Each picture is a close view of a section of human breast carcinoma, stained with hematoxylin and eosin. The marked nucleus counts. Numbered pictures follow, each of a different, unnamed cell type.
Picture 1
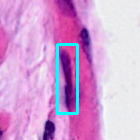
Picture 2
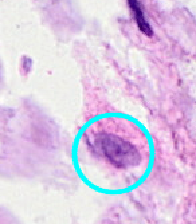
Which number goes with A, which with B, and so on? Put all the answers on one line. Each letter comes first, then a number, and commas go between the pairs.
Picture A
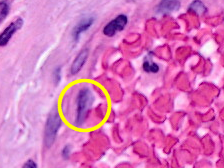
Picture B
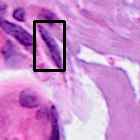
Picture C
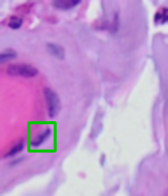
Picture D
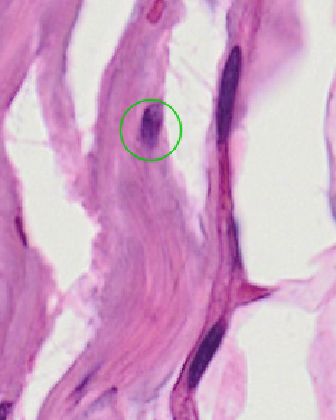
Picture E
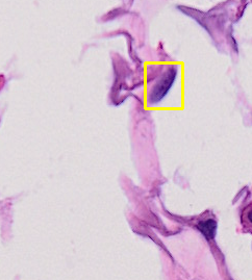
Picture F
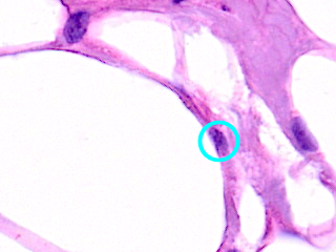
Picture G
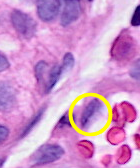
A 1, B 2, C 2, D 2, E 2, F 2, G 1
